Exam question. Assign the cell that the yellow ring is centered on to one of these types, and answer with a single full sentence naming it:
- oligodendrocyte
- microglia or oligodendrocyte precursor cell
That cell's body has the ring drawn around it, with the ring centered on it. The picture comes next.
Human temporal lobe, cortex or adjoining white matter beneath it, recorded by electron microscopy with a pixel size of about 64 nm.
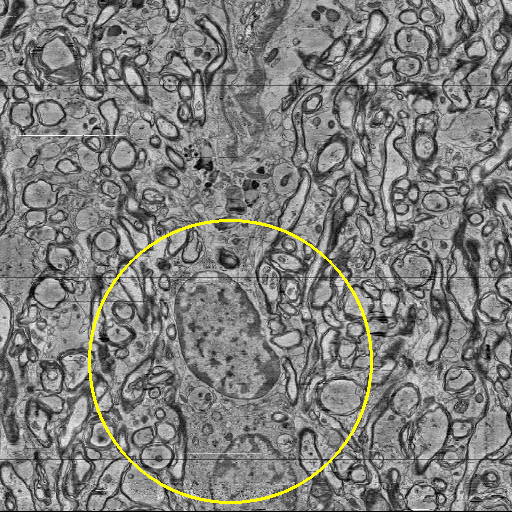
In the micrograph, the cell the yellow ring is centered on is a microglial cell or oligodendrocyte precursor cell.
